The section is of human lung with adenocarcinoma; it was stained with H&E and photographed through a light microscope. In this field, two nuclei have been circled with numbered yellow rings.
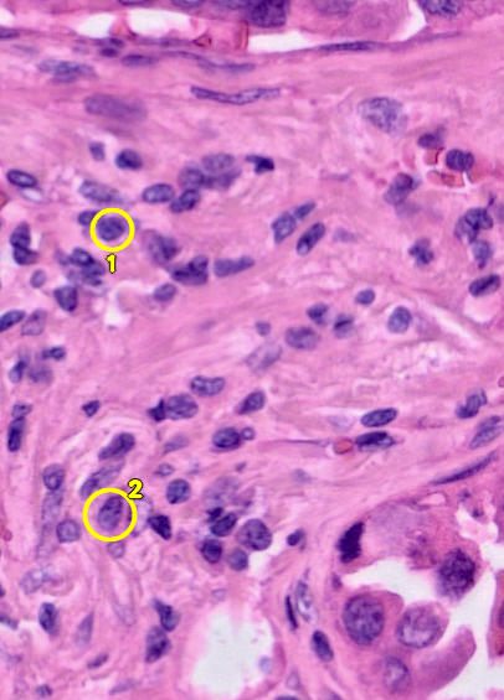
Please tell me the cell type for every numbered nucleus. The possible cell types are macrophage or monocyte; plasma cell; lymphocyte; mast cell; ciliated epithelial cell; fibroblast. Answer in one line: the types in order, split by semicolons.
lymphocyte; plasma cell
